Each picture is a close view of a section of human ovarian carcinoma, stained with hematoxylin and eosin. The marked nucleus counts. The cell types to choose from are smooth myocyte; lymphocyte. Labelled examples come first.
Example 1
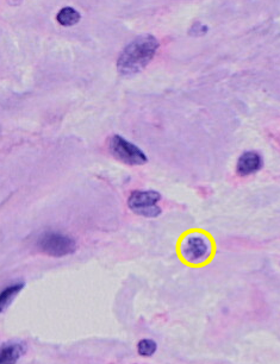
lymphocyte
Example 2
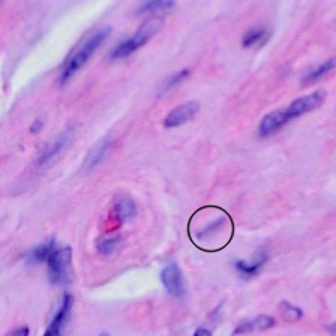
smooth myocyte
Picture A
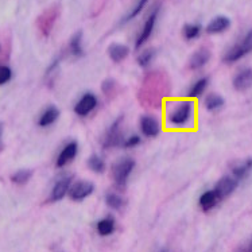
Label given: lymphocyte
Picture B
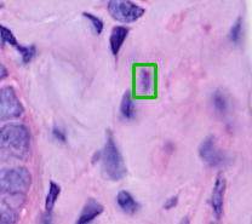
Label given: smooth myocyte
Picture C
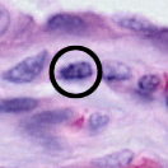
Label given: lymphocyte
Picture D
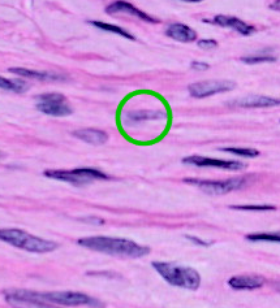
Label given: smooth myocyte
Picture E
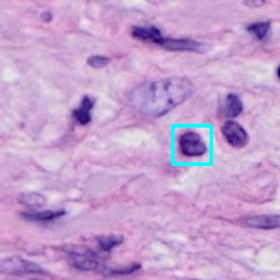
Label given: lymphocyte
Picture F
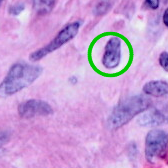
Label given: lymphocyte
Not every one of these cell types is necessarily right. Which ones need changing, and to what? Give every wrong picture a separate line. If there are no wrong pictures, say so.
No label is wrong.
